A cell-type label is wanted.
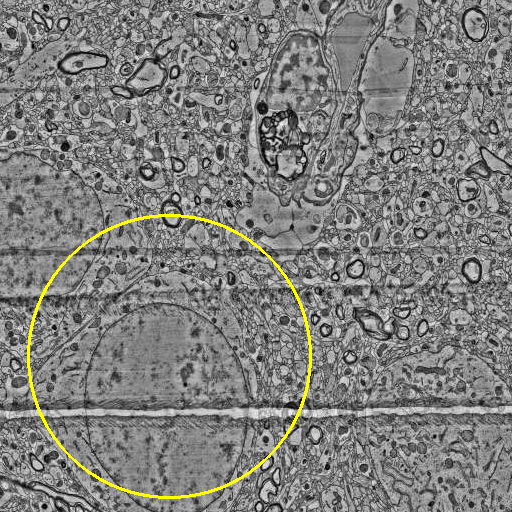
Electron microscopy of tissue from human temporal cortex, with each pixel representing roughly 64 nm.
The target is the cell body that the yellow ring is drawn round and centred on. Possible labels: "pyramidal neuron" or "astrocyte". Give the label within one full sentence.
Of the labels offered, the cell in the middle of the yellow ring is a pyramidal neuron.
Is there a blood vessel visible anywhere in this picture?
Yes, a blood vessel shows in the picture.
